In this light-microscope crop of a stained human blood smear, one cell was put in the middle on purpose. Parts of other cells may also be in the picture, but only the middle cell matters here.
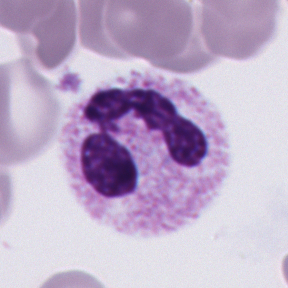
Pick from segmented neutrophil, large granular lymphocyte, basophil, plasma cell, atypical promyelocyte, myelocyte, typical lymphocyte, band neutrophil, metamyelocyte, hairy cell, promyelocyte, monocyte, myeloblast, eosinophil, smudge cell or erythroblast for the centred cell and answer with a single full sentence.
To answer, the cell in the center of the crop is a segmented neutrophil.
